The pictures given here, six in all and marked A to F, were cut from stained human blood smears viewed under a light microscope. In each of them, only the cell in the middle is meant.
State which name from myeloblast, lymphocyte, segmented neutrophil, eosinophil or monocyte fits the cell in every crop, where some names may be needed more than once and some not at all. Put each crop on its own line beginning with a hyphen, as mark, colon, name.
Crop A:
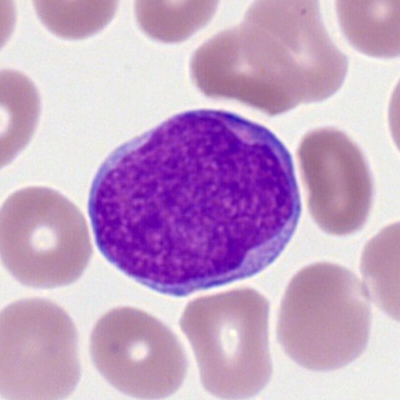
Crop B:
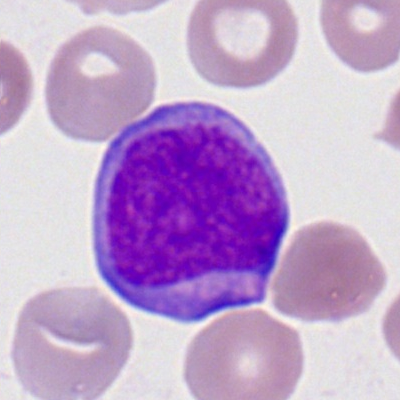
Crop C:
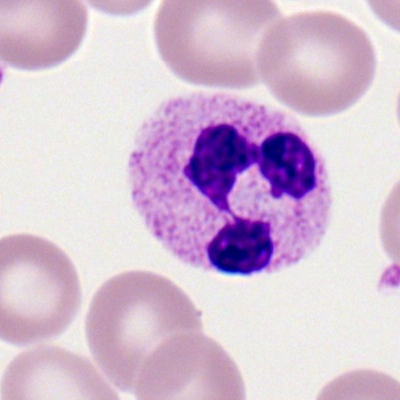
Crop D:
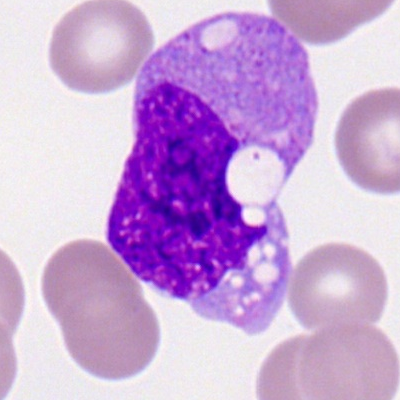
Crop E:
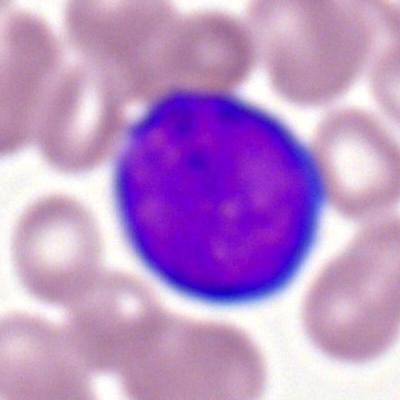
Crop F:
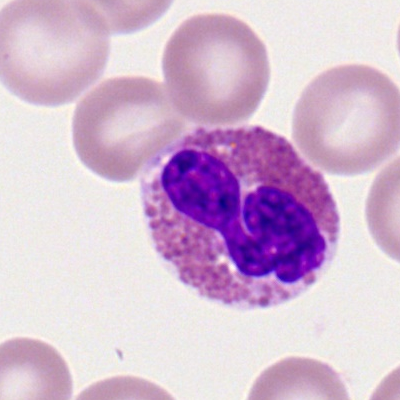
- A: myeloblast
- B: myeloblast
- C: segmented neutrophil
- D: monocyte
- E: myeloblast
- F: eosinophil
